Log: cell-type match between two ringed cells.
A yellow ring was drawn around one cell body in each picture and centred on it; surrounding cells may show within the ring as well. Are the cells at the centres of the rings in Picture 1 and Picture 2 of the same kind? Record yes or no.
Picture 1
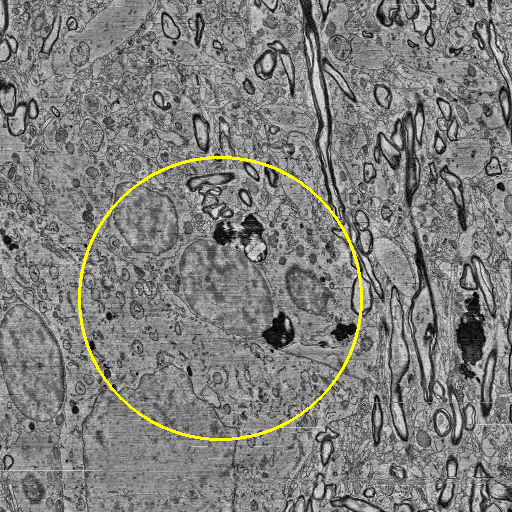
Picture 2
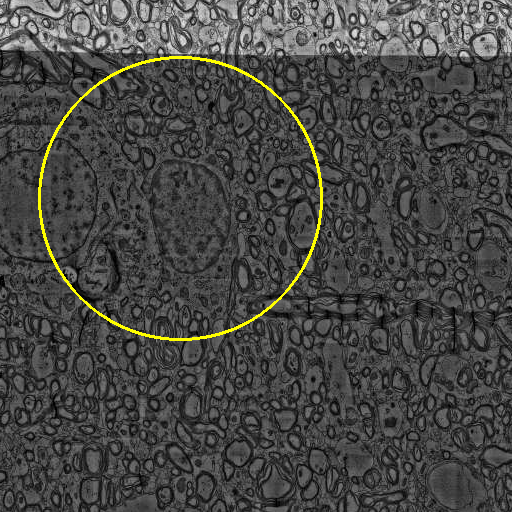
yes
